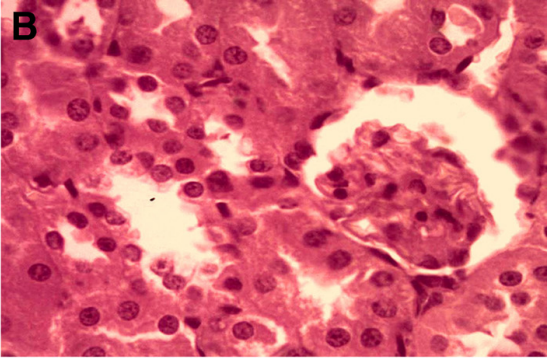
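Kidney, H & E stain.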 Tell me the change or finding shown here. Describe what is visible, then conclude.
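The glomerular tuft is small and pushed to one side of the capsule. A wide clear space lies between the tuft and the capsule. That points to this answer: injuries in glomeulus and bowman capsule.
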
